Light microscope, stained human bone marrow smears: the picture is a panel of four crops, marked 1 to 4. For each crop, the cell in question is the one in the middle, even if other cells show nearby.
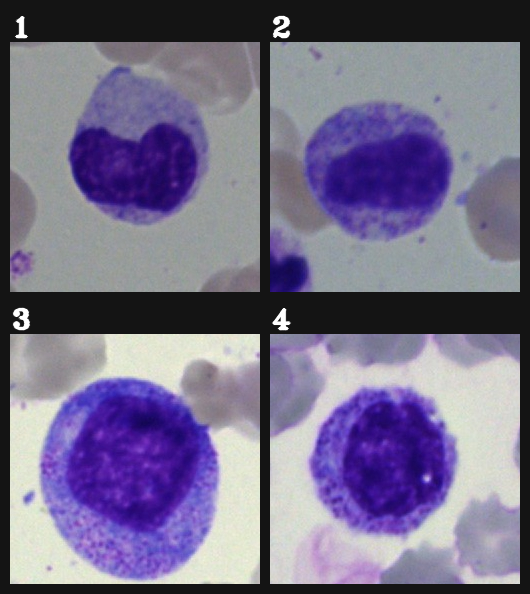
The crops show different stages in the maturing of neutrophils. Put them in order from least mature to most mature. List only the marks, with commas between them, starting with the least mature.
3, 4, 2, 1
